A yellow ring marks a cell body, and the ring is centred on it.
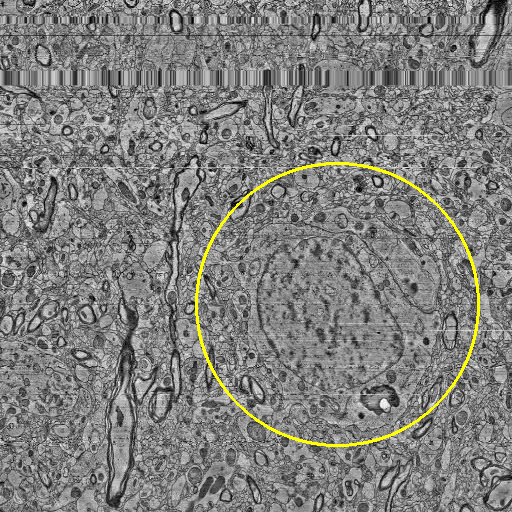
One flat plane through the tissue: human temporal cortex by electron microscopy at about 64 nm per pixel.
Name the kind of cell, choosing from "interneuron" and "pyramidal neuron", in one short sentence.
The marked cell body belongs to an interneuron.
